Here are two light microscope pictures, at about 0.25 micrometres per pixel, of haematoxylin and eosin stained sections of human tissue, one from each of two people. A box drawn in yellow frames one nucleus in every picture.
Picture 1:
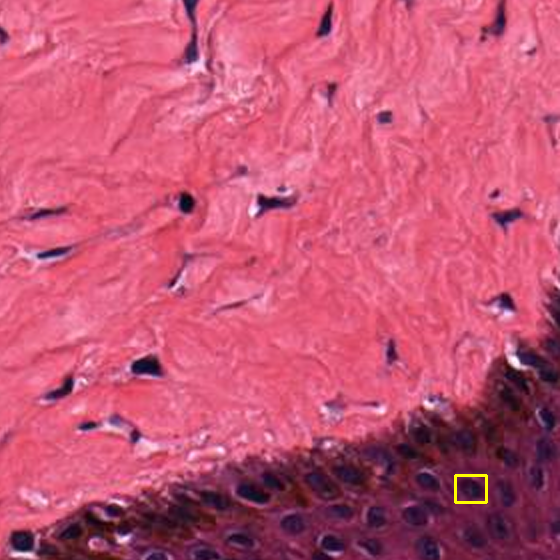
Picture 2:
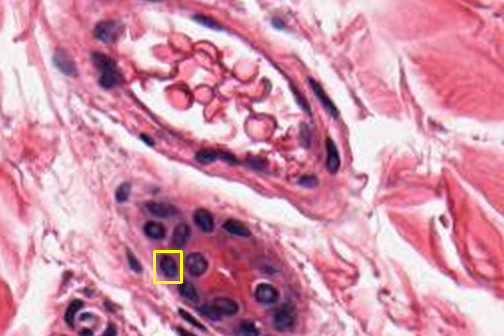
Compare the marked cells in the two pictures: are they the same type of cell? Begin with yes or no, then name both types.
No, the first is a keratinocyte and the second a sweat gland cell.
